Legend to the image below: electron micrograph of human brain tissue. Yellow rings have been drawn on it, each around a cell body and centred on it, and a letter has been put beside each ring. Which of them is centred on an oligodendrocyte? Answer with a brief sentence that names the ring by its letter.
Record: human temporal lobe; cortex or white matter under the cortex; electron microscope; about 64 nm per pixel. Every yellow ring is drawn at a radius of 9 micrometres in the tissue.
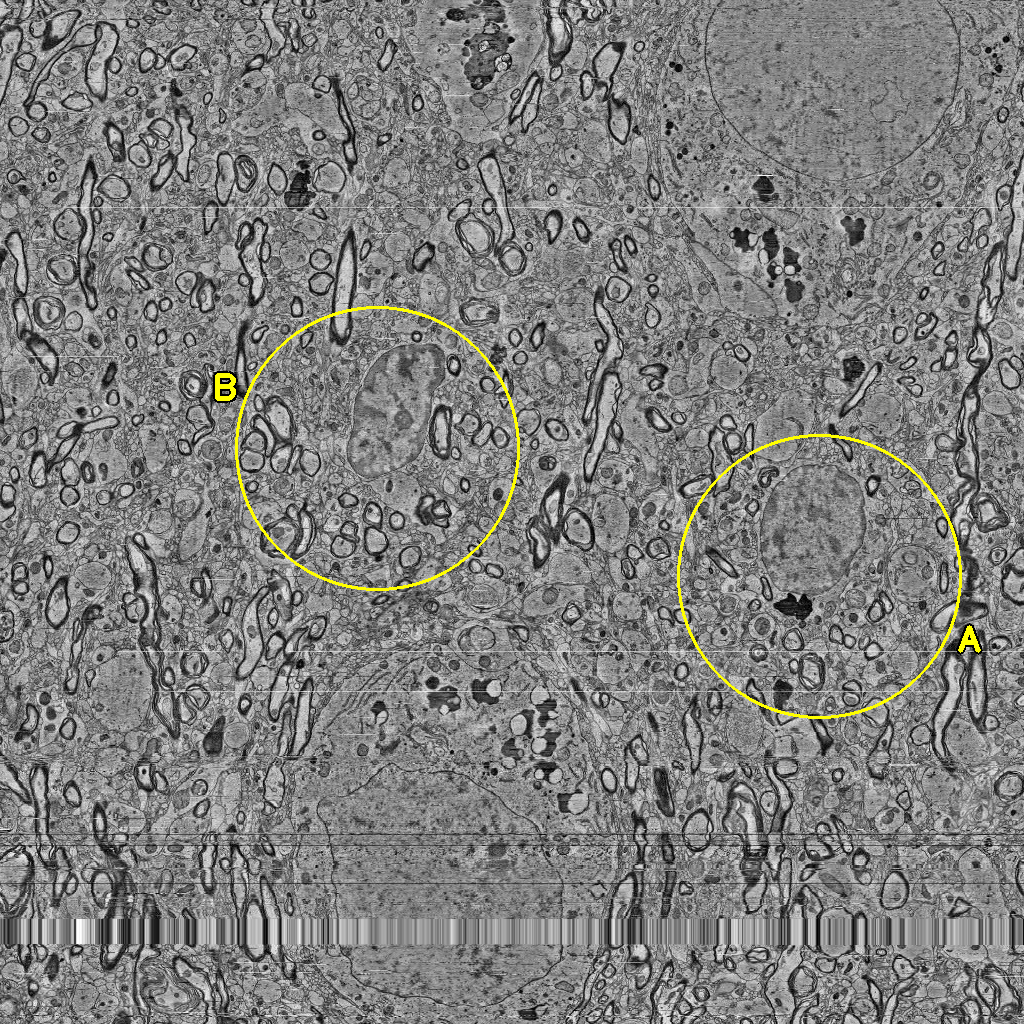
It is the ring lettered A.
